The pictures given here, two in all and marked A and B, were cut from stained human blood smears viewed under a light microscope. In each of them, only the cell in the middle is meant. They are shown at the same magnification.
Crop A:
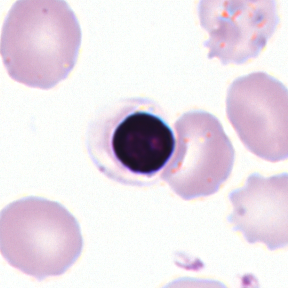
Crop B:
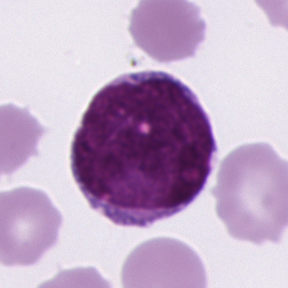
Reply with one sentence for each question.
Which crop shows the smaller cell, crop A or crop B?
Smaller is the cell in crop A, and the other is about 4 times as large in area.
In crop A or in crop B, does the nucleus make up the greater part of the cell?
It is the cell in crop B that is filled more by its nucleus.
